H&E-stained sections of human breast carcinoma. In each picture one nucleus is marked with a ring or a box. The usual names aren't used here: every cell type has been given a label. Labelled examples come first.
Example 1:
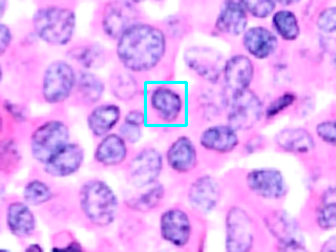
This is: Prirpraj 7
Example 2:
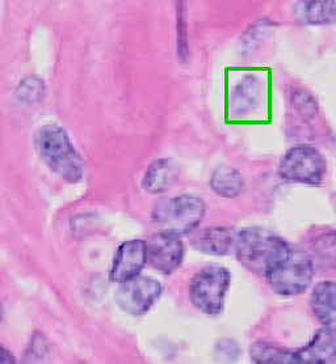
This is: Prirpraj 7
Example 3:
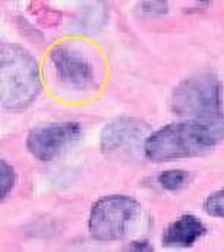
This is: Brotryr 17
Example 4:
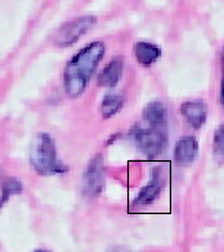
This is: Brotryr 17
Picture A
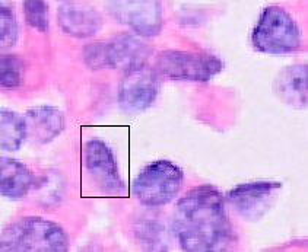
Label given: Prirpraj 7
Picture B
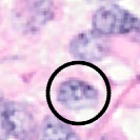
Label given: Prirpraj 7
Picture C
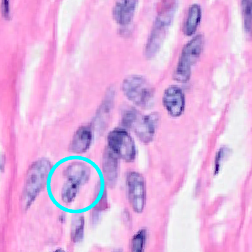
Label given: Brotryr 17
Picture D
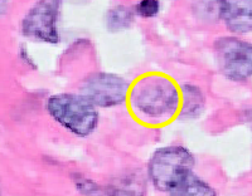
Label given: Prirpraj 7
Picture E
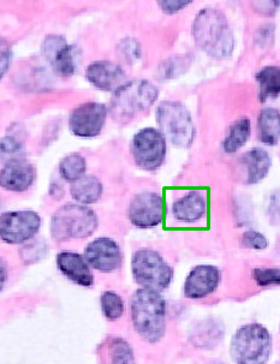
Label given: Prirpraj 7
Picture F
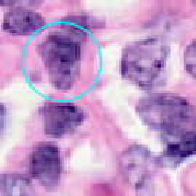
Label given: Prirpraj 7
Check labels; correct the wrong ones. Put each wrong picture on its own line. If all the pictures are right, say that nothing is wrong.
No label is wrong.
